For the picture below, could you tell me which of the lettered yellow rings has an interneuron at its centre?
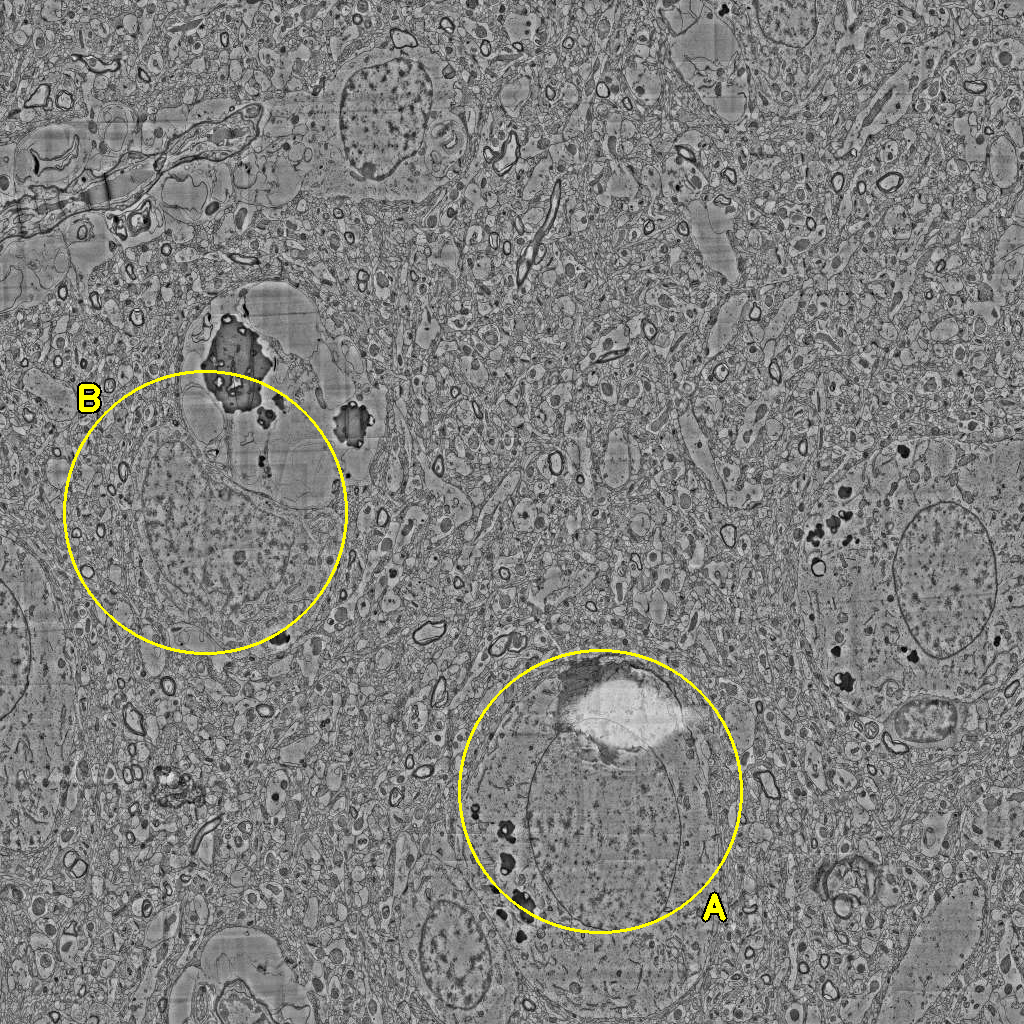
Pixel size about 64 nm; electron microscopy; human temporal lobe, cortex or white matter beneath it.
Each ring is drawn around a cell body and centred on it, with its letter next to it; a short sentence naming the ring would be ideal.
Ring B is centred on it.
